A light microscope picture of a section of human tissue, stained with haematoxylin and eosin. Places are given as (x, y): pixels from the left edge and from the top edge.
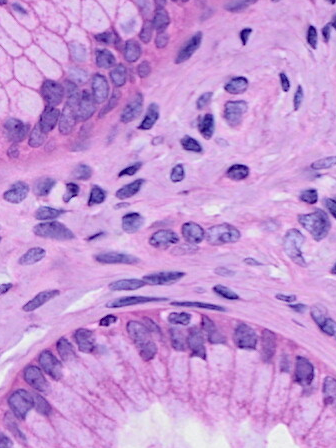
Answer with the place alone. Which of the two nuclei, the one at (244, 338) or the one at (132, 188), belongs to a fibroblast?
(132, 188)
